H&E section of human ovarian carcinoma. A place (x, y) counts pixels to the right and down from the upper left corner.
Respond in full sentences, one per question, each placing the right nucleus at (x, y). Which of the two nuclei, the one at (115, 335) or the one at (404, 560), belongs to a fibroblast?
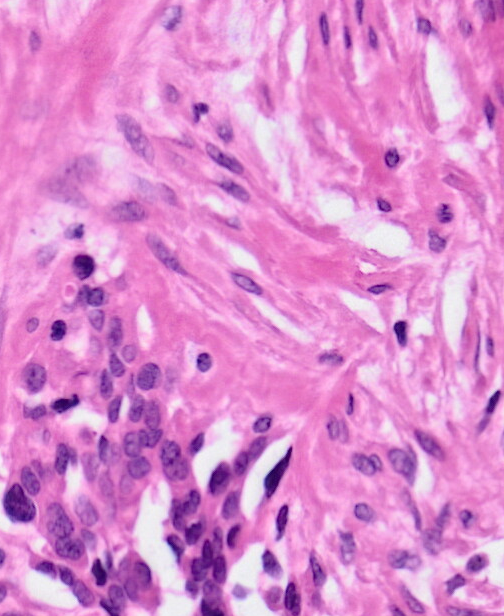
It is at (404, 560) that the nucleus of a fibroblast is found.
